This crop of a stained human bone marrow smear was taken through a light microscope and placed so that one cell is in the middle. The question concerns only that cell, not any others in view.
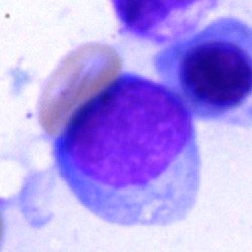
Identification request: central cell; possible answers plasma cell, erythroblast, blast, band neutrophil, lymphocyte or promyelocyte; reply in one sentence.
At the middle of the frame sits a blast.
